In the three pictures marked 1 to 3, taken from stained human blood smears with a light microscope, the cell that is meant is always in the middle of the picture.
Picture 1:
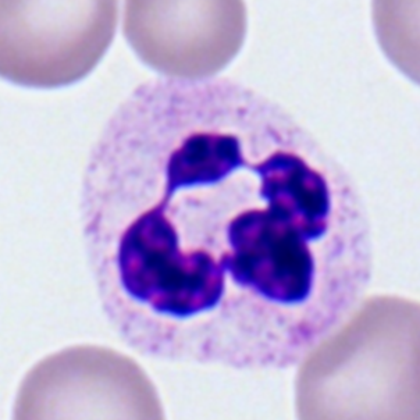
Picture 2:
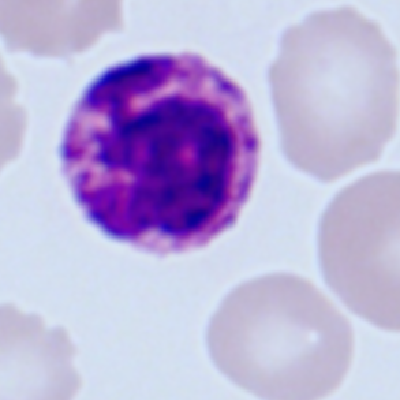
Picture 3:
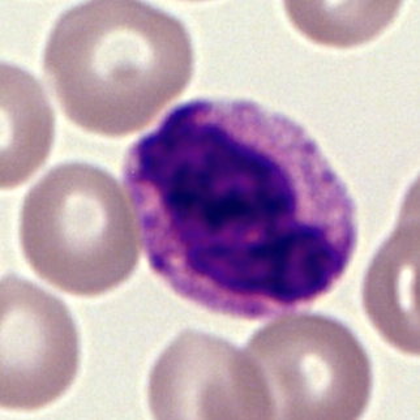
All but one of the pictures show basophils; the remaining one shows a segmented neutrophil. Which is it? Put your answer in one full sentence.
Picture 1 shows the segmented neutrophil.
